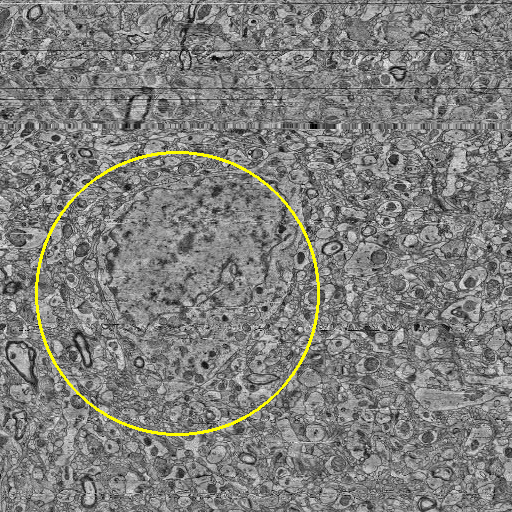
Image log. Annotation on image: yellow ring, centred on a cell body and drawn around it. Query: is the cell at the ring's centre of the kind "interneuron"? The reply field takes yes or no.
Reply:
yes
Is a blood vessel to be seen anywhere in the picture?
No, none is visible.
